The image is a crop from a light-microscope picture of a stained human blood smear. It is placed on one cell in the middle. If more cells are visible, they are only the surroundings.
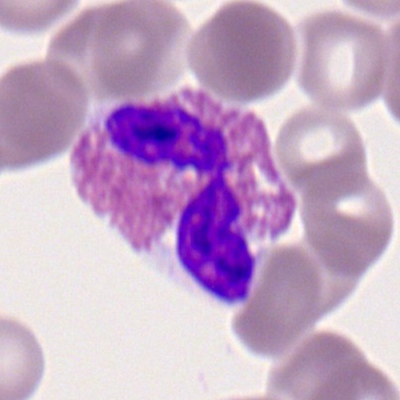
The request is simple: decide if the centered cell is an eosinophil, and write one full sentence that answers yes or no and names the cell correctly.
Yes, what sits in the middle of the crop is an eosinophil.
